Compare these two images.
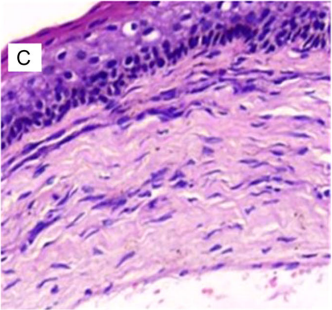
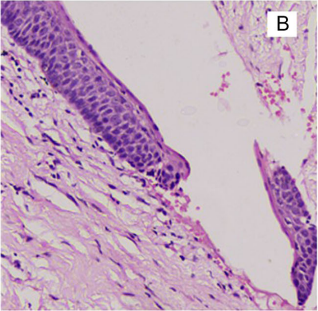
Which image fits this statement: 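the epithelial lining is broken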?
The second image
